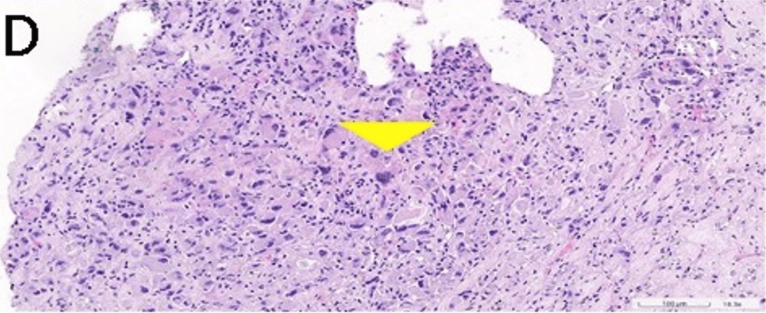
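Epithelioid tumor with a focus of multinucleated giant cells and nuclear pleomorphism. Nuclei vary markedly in size and shape, many being enlarged and darkly stained. Scattered large cells contain several nuclei. Cells have pink cytoplasm and lie in crowded sheets next to open spaces at the top of the field.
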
